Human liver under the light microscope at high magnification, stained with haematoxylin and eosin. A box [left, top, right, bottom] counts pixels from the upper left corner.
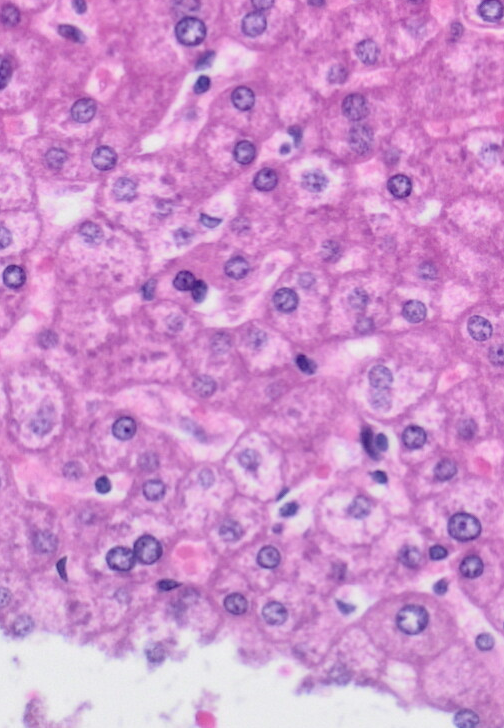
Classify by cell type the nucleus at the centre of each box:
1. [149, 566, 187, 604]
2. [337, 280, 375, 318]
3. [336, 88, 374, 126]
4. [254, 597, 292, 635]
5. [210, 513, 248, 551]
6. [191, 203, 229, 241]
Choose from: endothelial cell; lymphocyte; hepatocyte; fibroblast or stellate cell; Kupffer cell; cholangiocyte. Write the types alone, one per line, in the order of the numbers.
fibroblast or stellate cell
hepatocyte
hepatocyte
hepatocyte
hepatocyte
endothelial cell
